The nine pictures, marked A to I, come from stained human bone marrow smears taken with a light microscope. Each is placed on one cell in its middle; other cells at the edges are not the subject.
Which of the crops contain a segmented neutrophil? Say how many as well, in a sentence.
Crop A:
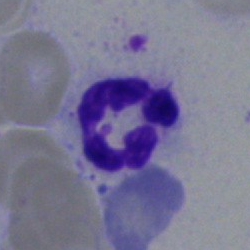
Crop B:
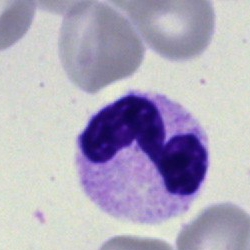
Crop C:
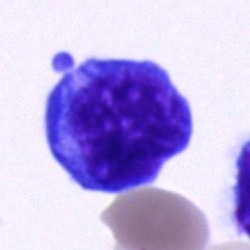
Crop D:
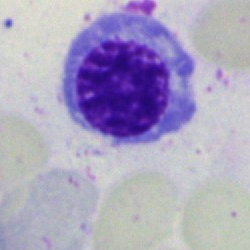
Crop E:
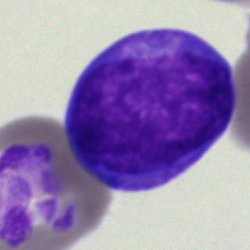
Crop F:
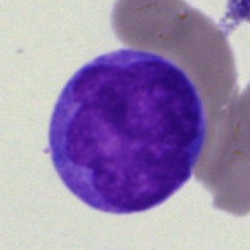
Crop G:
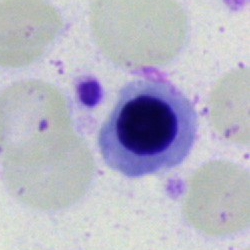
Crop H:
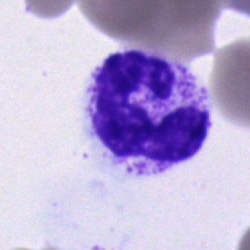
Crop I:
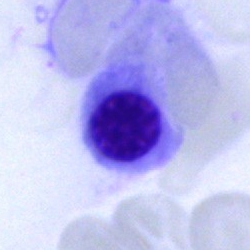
Crops A, B and H contain segmented neutrophils, which puts the count at three.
